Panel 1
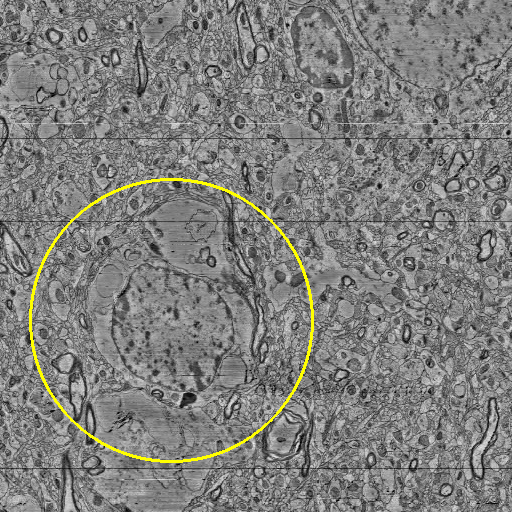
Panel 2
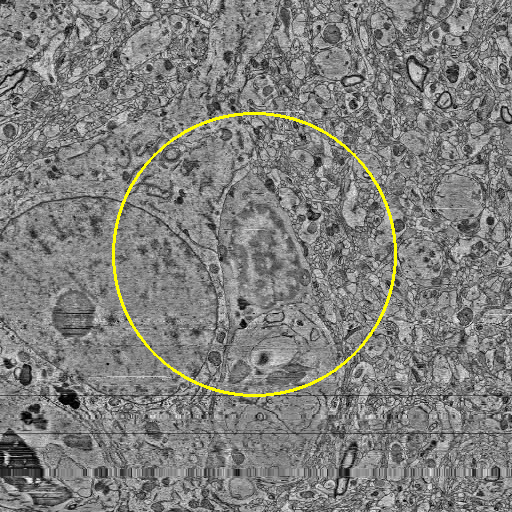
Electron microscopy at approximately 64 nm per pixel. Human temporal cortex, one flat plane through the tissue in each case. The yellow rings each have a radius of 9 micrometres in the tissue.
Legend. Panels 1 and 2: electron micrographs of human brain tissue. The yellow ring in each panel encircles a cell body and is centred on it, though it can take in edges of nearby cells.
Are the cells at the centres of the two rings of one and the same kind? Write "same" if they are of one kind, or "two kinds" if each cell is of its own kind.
two kinds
